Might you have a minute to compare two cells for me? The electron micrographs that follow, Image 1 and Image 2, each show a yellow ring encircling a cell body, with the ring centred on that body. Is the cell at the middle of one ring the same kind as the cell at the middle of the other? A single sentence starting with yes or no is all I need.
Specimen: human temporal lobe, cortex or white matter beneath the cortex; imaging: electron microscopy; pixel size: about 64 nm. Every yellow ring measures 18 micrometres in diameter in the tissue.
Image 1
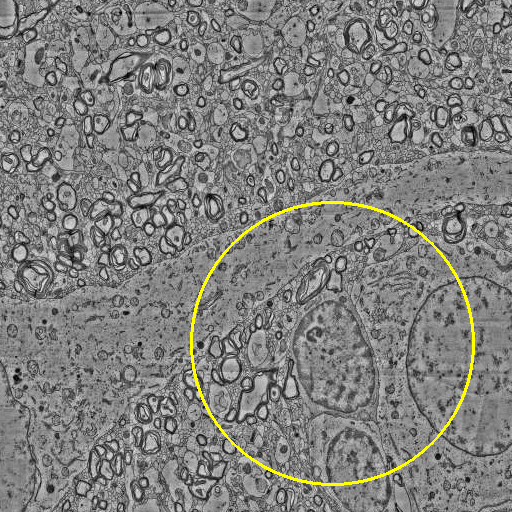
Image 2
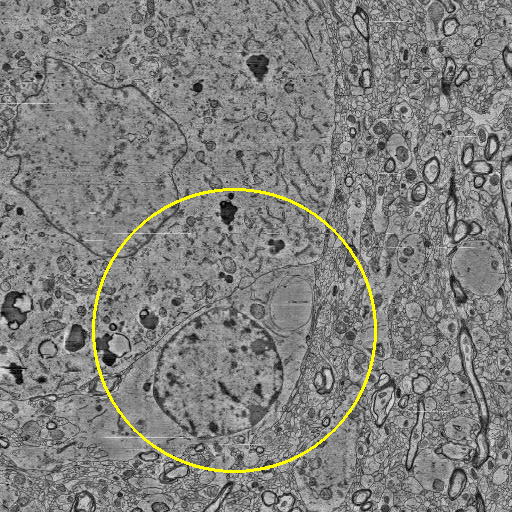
No, the cells in the middle of the two rings are of two separate kinds.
